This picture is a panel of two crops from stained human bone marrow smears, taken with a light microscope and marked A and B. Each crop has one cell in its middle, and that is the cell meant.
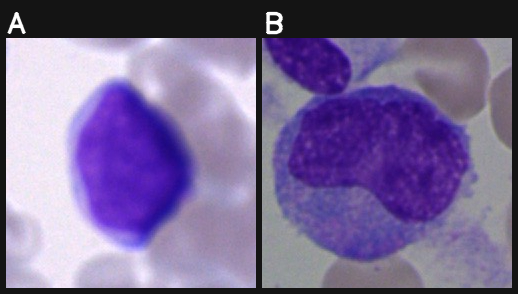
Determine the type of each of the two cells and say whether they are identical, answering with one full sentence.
No, crop A should be called a blast, and crop B should be called a monocyte.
